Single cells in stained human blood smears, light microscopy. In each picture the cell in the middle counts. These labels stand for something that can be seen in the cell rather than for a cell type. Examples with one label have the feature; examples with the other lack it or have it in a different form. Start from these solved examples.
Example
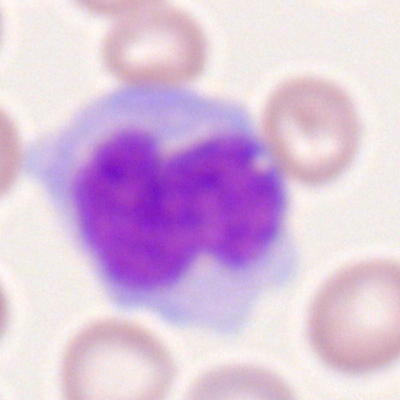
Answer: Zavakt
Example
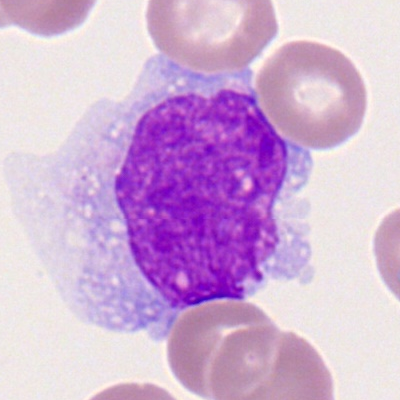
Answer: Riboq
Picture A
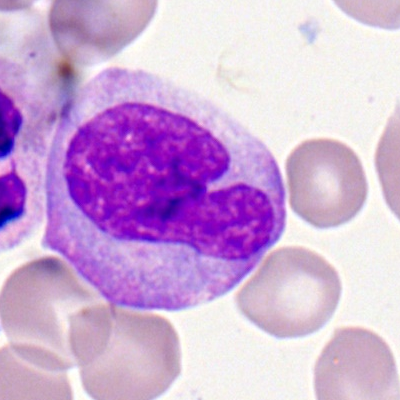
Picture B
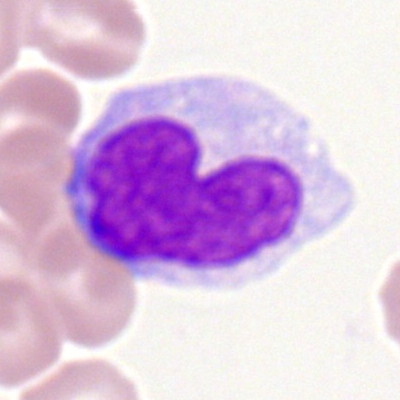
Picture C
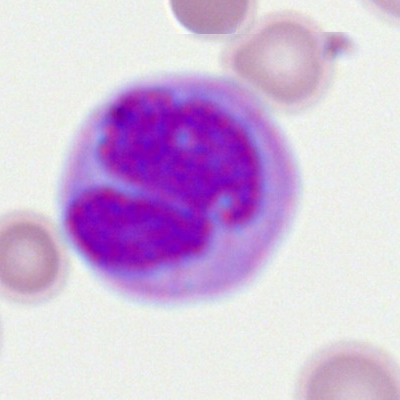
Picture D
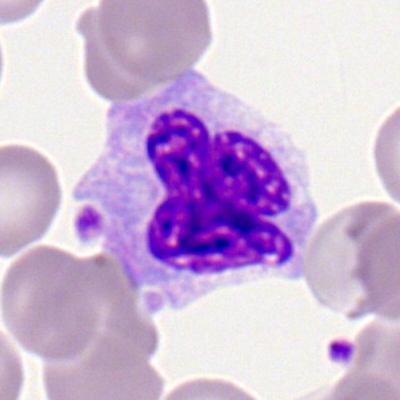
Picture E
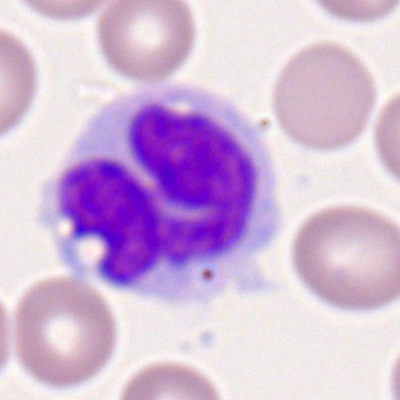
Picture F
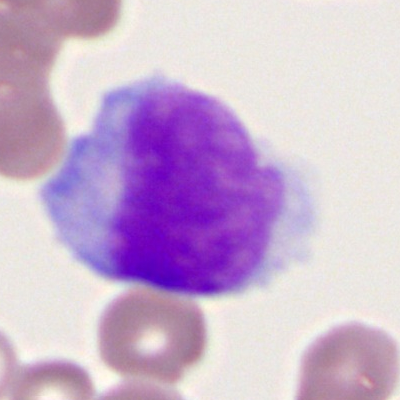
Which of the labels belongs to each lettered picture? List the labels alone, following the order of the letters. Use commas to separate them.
Riboq, Riboq, Zavakt, Zavakt, Zavakt, Riboq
